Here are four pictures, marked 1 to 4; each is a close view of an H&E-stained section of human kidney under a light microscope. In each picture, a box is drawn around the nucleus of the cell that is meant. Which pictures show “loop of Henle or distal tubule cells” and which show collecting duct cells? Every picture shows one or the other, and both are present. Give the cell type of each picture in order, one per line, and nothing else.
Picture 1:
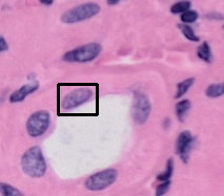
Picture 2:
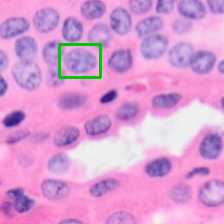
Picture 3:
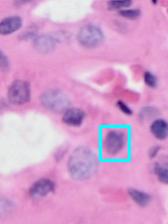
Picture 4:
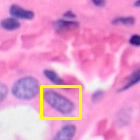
loop of Henle or distal tubule cell
collecting duct cell
loop of Henle or distal tubule cell
collecting duct cell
